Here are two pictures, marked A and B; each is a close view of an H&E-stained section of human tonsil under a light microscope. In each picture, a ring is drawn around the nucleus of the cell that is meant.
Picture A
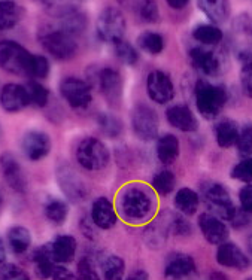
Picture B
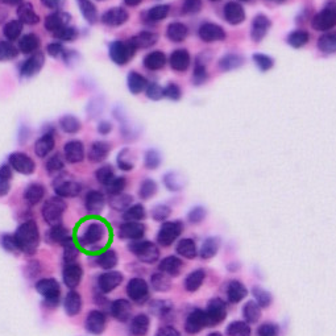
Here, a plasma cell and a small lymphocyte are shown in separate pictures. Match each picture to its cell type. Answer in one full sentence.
In picture A the cell is a plasma cell; in picture B, a small lymphocyte.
